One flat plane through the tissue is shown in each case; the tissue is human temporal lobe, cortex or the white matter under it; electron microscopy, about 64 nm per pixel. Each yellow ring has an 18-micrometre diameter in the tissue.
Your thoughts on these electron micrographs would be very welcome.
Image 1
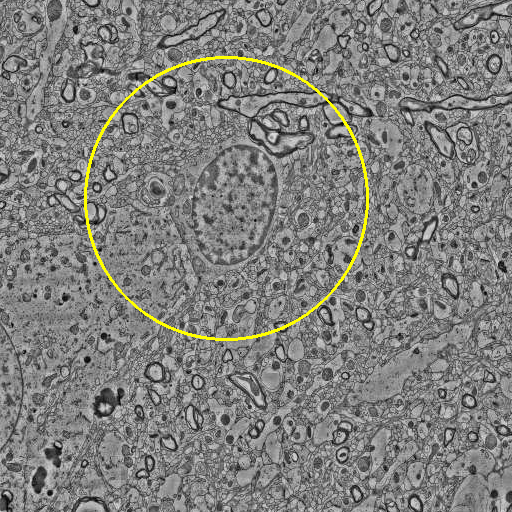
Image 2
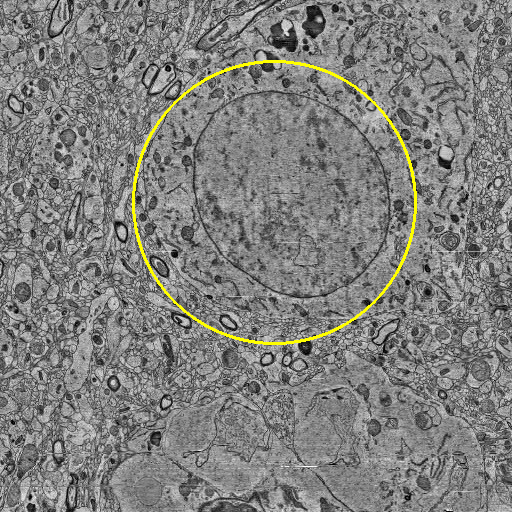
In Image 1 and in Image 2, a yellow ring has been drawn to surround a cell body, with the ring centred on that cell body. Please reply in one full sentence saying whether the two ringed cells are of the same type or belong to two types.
The ringed cells in Image 1 and Image 2 belong to two types.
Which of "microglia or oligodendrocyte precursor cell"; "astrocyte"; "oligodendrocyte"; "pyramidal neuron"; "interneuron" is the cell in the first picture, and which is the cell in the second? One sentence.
The two differ: the first cell is an oligodendrocyte and the second is a pyramidal neuron.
